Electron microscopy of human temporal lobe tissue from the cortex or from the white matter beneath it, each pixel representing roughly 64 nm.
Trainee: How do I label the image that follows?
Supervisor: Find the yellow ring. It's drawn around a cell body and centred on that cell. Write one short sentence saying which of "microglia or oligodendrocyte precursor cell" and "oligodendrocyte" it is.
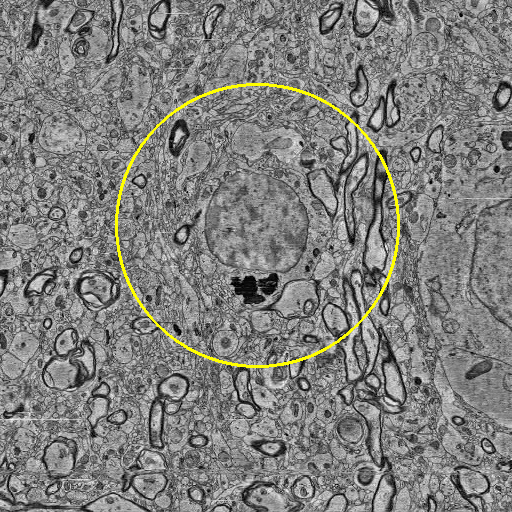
This is the cell body of an oligodendrocyte.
